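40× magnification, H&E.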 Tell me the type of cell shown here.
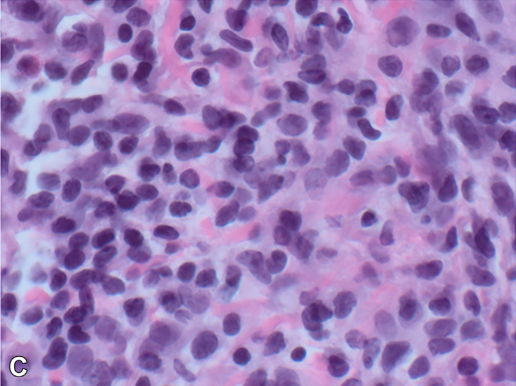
Small and medium atypical lymphoid cells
